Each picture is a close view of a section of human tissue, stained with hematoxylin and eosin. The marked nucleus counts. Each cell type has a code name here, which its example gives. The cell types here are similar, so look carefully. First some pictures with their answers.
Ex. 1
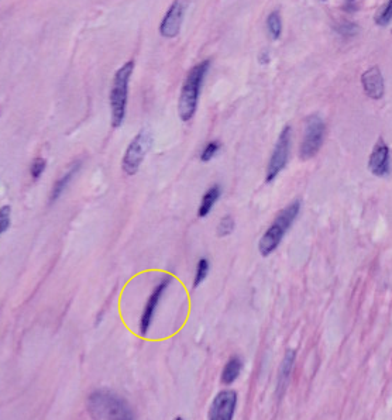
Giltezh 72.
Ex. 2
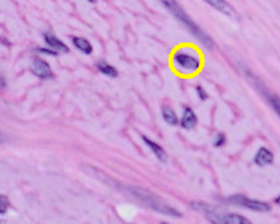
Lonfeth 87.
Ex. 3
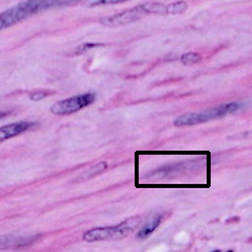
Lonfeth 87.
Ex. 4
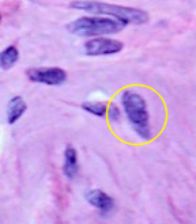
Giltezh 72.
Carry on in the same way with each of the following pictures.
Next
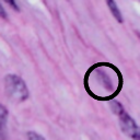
Giltezh 72.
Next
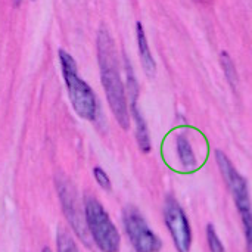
Lonfeth 87.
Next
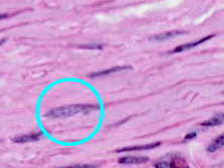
Giltezh 72.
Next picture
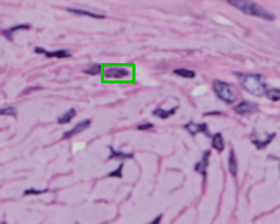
Giltezh 72.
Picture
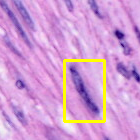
Giltezh 72.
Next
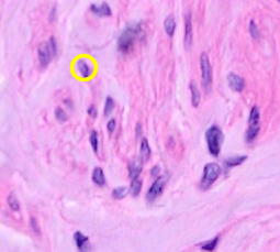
Lonfeth 87.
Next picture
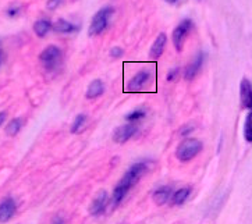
Lonfeth 87.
